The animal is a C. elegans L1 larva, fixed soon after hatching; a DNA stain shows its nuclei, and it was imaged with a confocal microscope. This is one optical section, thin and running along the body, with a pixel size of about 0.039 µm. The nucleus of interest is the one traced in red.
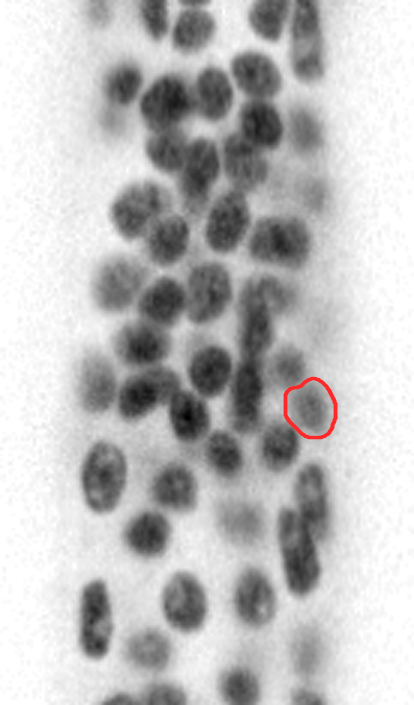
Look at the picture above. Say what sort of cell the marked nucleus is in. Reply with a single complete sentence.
The nucleus comes from a neuron.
